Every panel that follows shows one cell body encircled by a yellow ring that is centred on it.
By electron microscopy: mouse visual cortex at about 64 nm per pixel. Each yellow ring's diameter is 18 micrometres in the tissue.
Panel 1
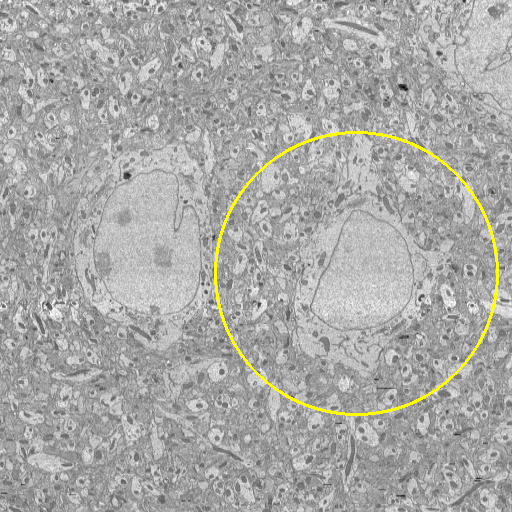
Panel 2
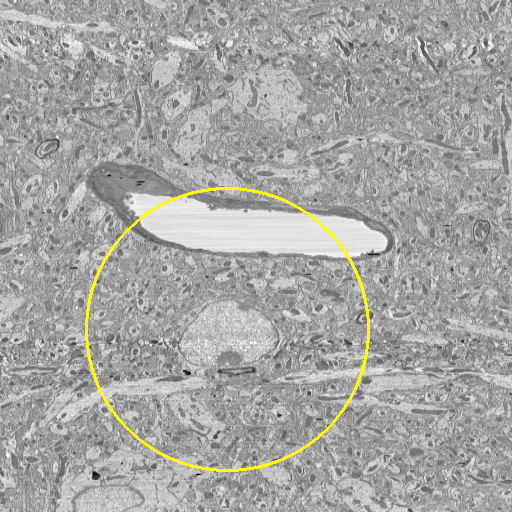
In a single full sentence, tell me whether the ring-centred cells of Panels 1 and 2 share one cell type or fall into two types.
In Panel 1 and Panel 2, the cells at the ring centres fall into two types.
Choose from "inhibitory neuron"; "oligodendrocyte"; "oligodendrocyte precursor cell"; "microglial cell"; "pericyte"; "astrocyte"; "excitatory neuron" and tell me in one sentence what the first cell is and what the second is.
What the first ring is centred on is an excitatory neuron; what the second ring is centred on is an astrocyte.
